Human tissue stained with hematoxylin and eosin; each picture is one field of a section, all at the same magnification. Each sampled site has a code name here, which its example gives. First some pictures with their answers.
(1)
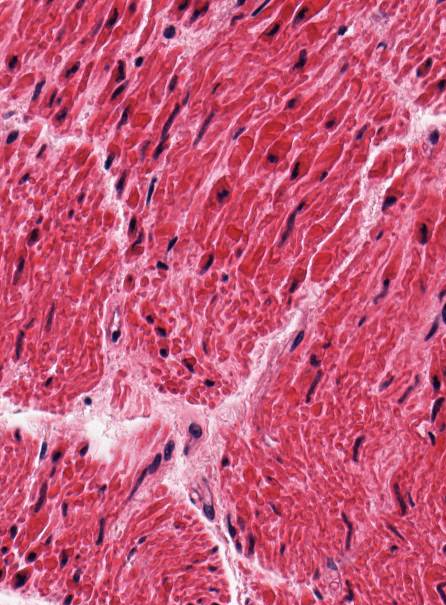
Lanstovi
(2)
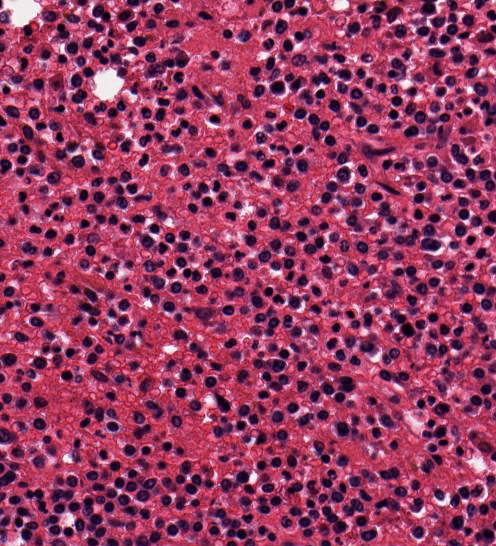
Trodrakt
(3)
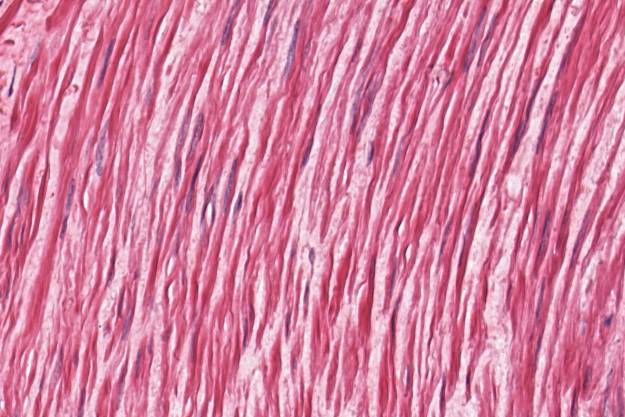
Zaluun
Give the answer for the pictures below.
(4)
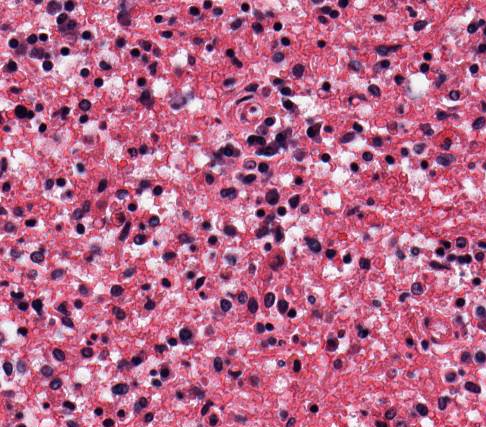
Trodrakt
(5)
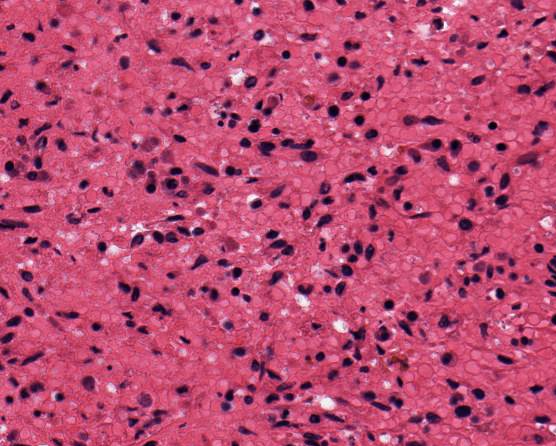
Trodrakt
